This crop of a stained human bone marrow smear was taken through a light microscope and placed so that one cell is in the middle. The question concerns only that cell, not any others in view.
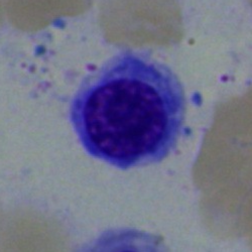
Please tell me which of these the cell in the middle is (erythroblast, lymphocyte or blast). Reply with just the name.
erythroblast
